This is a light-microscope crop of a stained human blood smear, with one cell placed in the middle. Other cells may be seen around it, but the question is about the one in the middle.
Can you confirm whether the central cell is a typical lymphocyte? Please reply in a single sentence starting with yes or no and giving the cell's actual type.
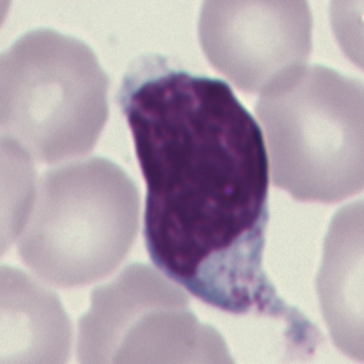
No, the cell at the centre is identified as a large granular lymphocyte, not as a typical lymphocyte.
